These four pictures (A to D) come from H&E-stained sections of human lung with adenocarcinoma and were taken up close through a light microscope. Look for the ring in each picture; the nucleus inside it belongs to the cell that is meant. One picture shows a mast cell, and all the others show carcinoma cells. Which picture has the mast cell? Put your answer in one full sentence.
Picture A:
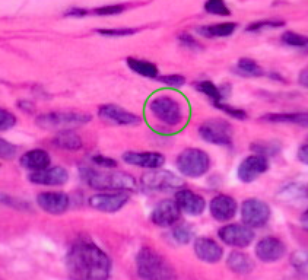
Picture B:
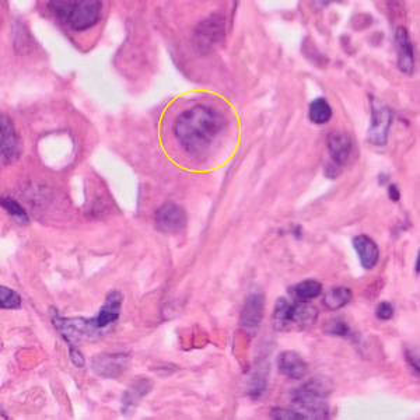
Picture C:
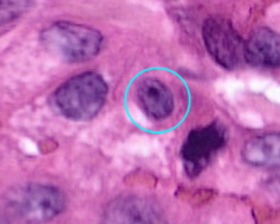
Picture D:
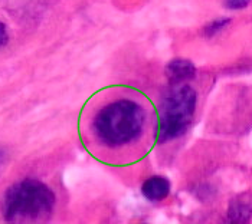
The mast cell is the one in picture A.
